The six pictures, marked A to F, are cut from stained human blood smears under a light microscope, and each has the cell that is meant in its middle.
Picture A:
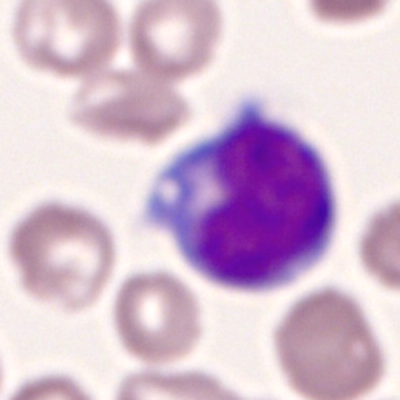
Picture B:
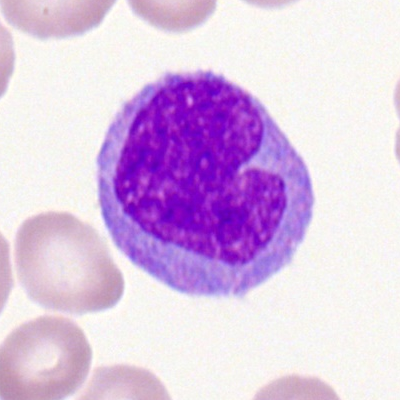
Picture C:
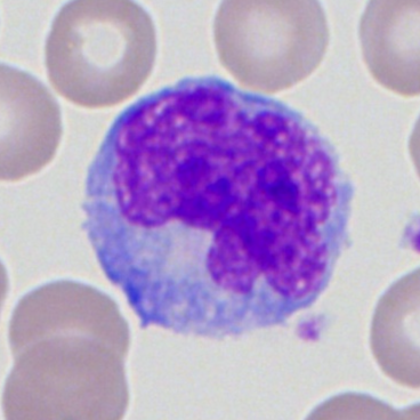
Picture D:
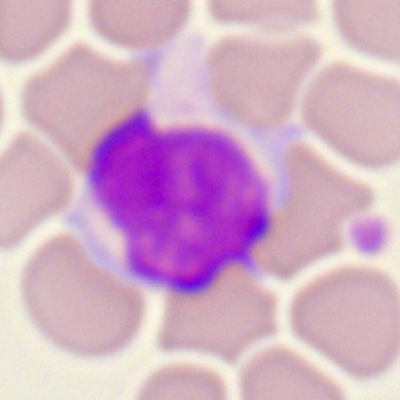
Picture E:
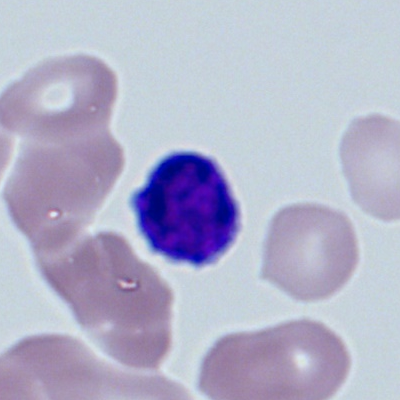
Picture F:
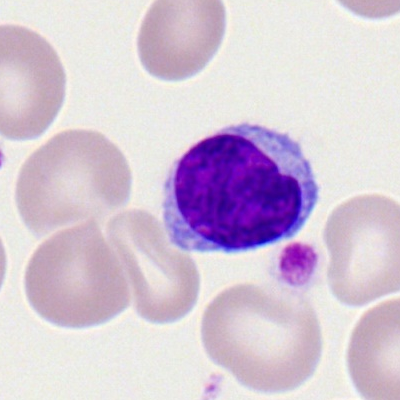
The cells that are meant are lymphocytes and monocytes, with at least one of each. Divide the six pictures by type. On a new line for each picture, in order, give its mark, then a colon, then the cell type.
A: monocyte
B: monocyte
C: monocyte
D: lymphocyte
E: lymphocyte
F: lymphocyte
